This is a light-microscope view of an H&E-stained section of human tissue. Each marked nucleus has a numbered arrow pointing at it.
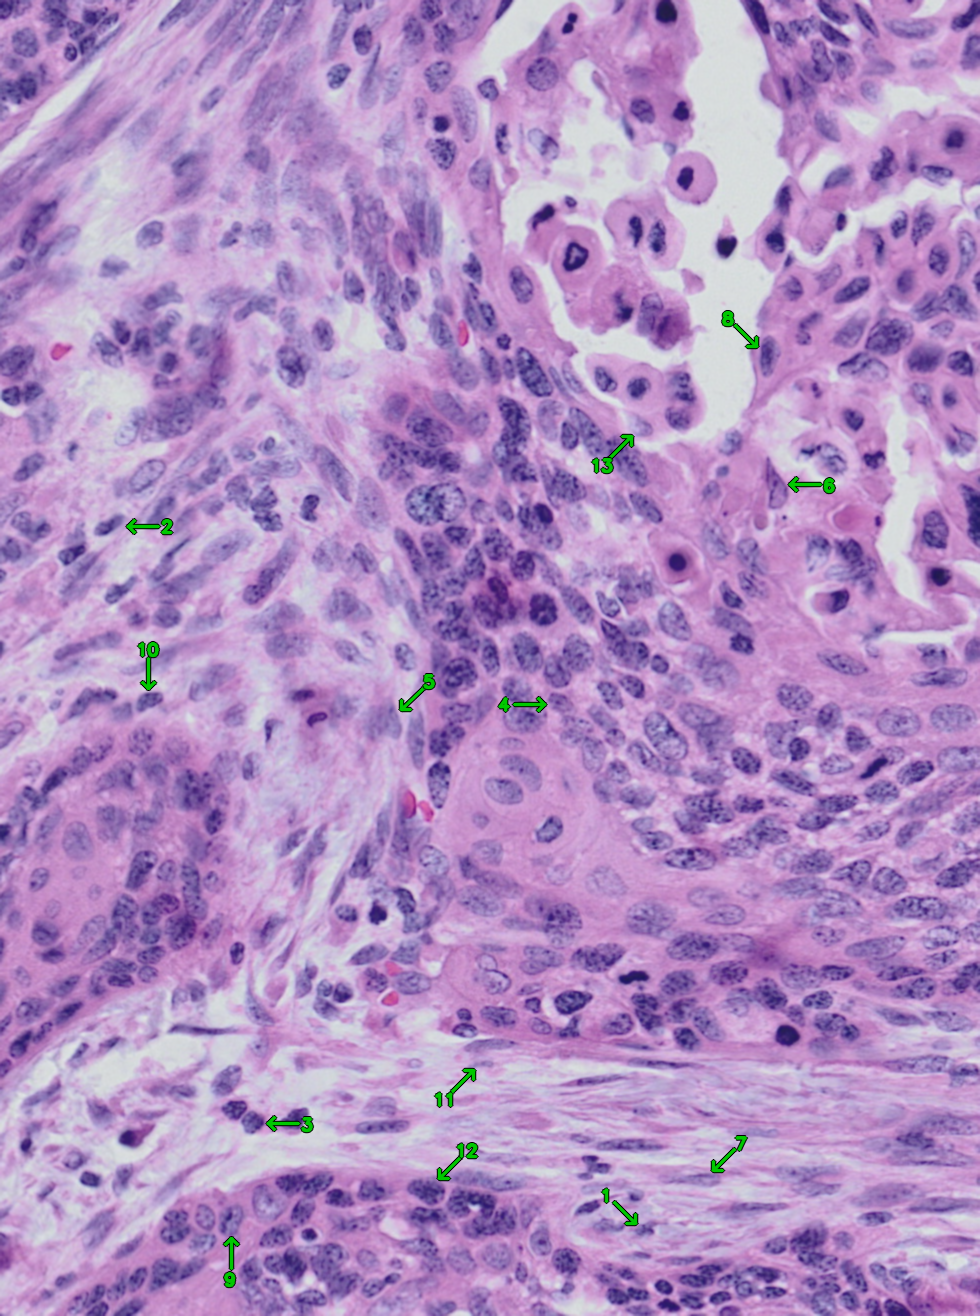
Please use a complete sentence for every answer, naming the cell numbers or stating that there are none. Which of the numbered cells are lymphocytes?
The cells numbered 2, 3 and 10 are identified as lymphocytes.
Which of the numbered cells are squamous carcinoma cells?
The cells numbered 4, 8, 9, 12 and 13 fall into the category of squamous carcinoma cells.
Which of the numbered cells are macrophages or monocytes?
Among all the marked cells, a macrophage or monocyte is found only at number 6.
